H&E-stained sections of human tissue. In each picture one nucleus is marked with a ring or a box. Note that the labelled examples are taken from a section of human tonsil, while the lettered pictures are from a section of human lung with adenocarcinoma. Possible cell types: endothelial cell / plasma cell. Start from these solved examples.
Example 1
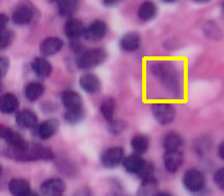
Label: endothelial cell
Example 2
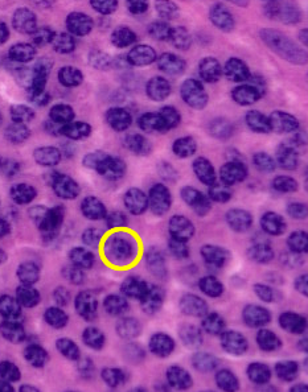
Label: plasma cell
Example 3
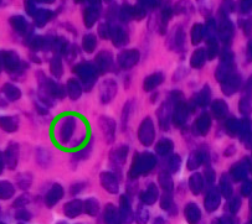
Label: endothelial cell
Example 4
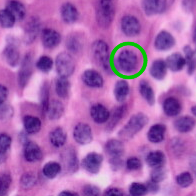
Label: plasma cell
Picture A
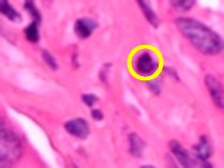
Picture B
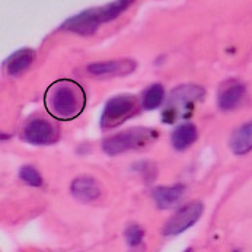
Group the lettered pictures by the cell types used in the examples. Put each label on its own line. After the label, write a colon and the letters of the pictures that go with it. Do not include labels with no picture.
plasma cell: A, B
